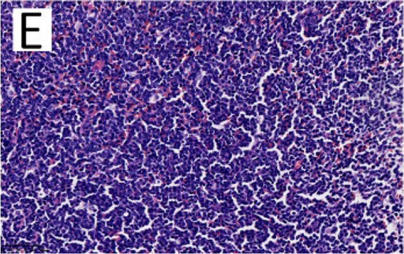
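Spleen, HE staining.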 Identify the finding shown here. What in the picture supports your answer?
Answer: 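The field is filled by a dense sheet of round cells with no normal architecture. The nuclei are round and similar in size and shape. So: diffuse distribution of small to medium monomorphic round cells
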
